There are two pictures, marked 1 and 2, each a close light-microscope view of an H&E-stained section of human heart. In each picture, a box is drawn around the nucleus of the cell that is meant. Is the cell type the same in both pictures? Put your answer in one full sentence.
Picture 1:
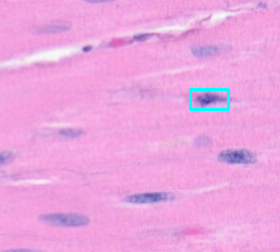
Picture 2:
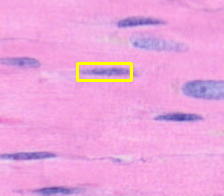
No; the cell in picture 1 is an endothelial cell, while the one in picture 2 is a fibroblast.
